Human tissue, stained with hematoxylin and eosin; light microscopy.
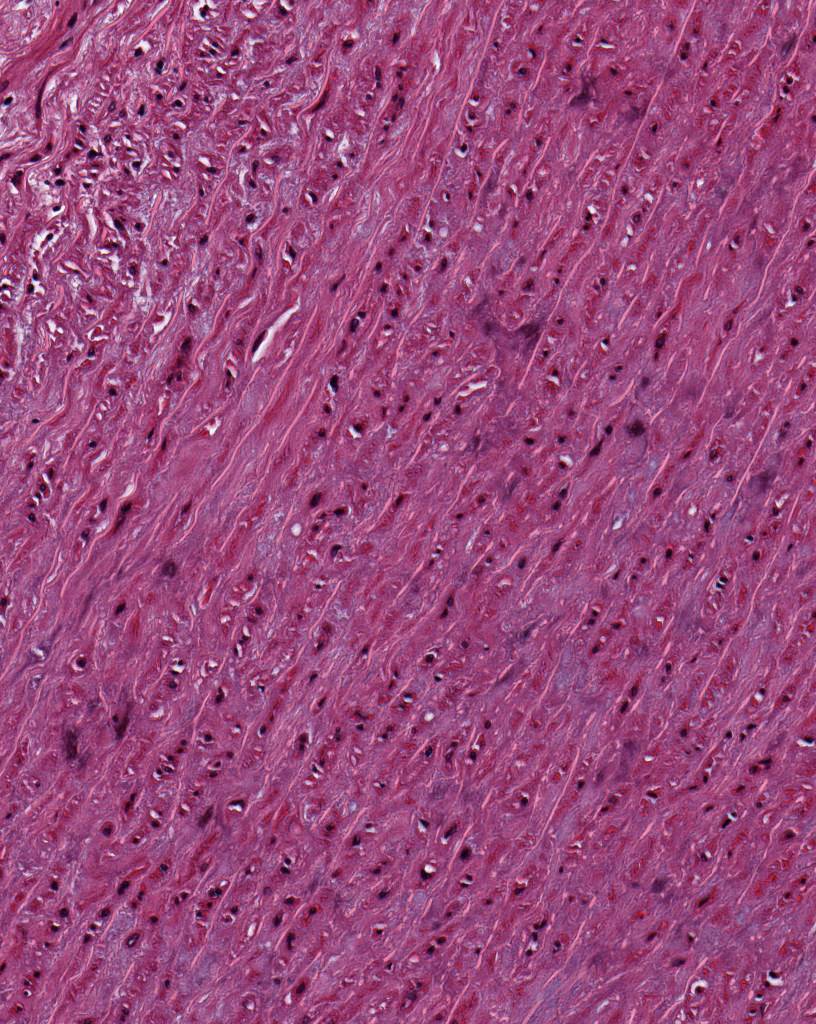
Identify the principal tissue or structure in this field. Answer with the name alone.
tunica media of an artery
